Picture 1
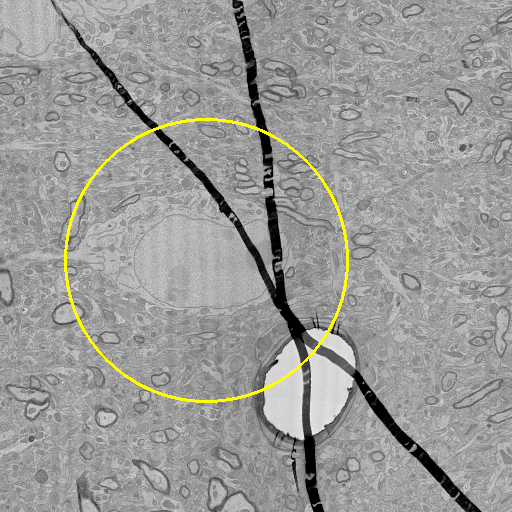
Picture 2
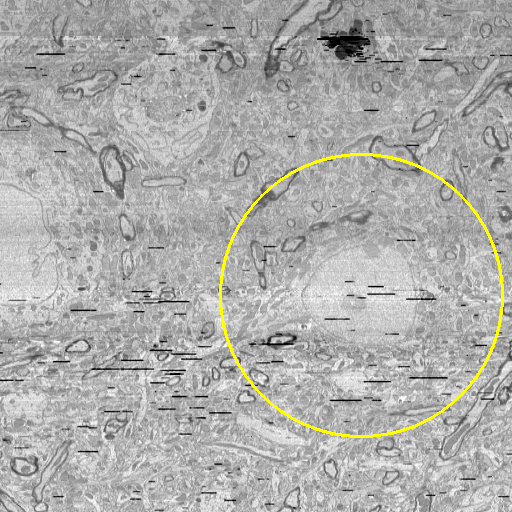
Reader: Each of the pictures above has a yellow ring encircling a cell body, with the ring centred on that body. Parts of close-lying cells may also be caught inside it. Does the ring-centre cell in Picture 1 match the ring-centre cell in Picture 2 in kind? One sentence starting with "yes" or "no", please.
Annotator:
No, Picture 1 and Picture 2 show ring-centre cells of two kinds.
